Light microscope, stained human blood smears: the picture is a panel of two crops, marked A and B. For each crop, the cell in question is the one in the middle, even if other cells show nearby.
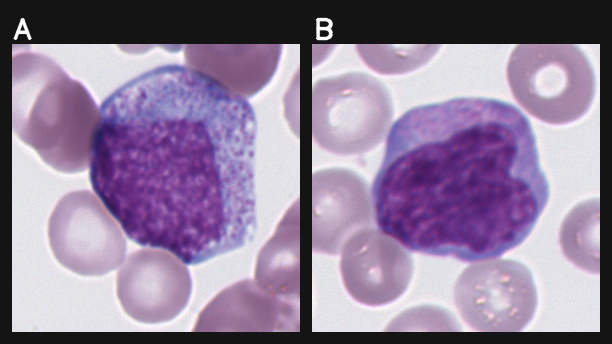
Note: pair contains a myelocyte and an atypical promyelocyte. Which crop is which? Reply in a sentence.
The centred cell is a myelocyte in crop A and an atypical promyelocyte in crop B.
